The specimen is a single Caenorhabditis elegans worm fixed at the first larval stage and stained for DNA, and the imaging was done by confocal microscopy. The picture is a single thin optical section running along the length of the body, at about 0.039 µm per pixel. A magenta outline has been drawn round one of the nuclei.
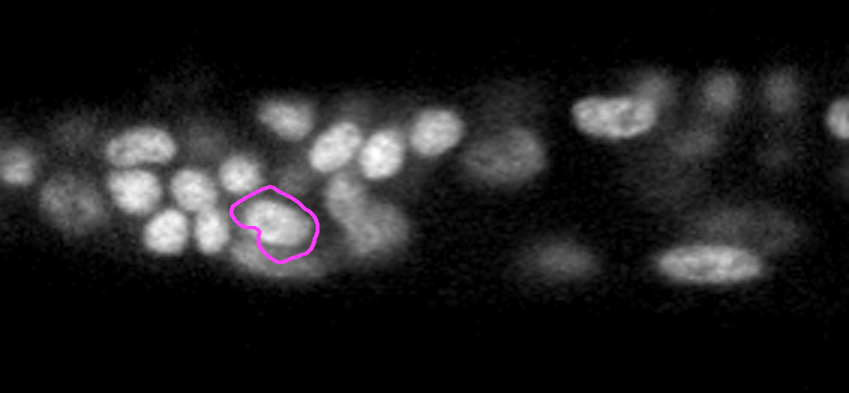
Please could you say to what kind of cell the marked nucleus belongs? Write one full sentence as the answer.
The marked nucleus belongs to a rectal epithelial cell.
